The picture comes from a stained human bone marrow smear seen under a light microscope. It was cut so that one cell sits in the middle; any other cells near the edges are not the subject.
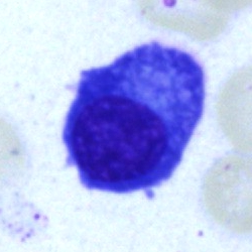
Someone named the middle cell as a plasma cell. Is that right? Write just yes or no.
yes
